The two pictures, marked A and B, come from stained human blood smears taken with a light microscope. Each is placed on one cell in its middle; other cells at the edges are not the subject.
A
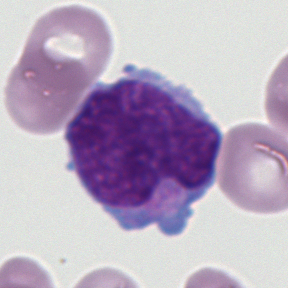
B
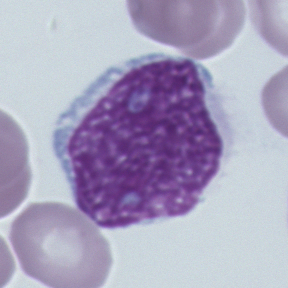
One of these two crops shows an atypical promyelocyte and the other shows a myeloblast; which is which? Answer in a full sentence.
The cell centred in crop A is an atypical promyelocyte, while the one centred in crop B is a myeloblast.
